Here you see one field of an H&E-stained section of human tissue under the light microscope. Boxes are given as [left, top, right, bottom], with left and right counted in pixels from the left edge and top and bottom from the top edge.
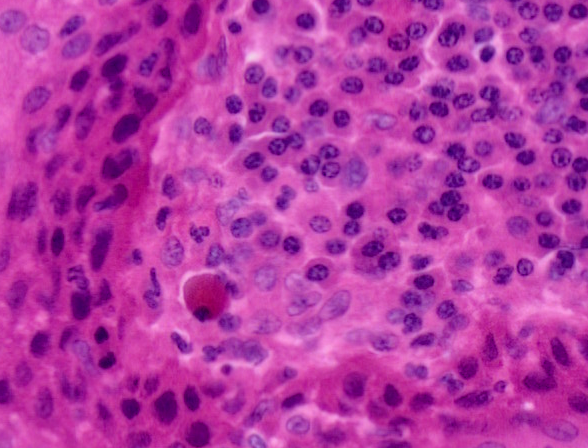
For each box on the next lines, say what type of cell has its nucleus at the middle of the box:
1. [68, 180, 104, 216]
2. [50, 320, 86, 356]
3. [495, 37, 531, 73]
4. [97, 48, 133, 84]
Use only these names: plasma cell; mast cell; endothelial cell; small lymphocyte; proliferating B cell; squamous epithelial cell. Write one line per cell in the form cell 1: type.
cell 1: squamous epithelial cell
cell 2: squamous epithelial cell
cell 3: plasma cell
cell 4: squamous epithelial cell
